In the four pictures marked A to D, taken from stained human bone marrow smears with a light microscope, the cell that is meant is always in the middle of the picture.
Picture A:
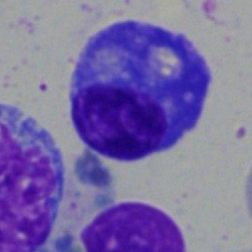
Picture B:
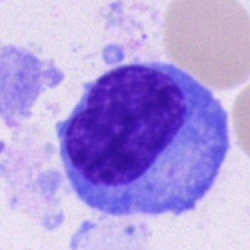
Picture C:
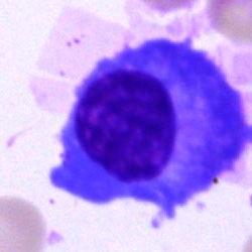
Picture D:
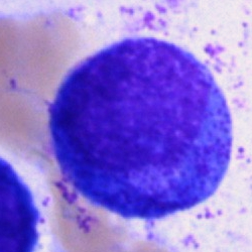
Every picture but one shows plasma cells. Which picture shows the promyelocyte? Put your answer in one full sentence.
The picture with the promyelocyte is D.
